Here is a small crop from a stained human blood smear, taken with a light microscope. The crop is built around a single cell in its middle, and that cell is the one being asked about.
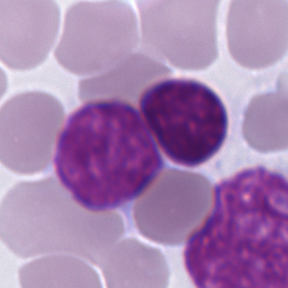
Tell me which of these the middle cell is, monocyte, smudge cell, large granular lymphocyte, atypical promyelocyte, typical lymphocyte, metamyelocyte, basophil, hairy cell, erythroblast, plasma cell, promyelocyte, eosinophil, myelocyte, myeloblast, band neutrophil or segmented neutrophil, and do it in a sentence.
The cell nearest the centre of this crop is a myeloblast.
